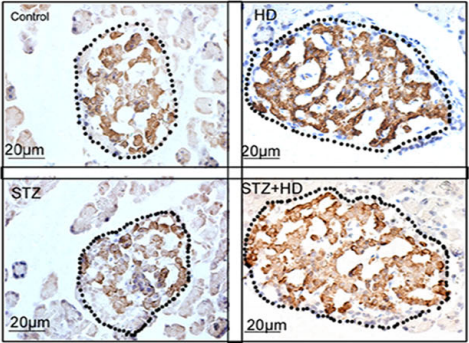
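Four sections of pancreas, each with a pancreatic islet outlined by a dotted line, stained brown with a blue nuclear counterstain. Within the islets the brown stain fills the cytoplasm of many cells arranged in irregular cords with pale spaces between them. The tissue around the islets is only faintly brown or greyish. The brown staining is darker and more widespread in the two right images than in the two left ones. Blue nuclei are visible at the margins of the islets, most clearly in the upper right image.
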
